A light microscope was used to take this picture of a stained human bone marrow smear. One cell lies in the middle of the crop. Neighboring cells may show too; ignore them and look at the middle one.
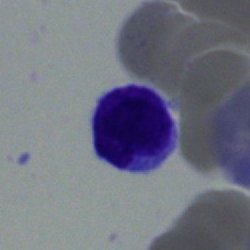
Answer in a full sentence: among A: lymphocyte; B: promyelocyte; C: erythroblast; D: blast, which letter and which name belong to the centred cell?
Correctly, option A names the cell in the middle a lymphocyte.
